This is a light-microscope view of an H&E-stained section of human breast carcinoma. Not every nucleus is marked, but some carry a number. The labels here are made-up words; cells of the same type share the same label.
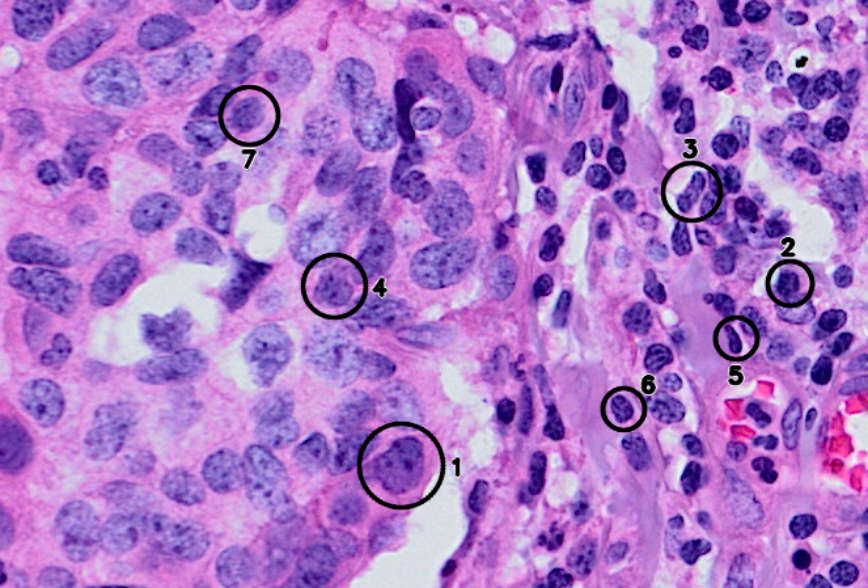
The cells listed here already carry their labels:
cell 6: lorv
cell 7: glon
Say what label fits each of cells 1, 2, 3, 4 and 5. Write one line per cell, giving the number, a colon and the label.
1: glon
2: lorv
3: lorv
4: glon
5: lorv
